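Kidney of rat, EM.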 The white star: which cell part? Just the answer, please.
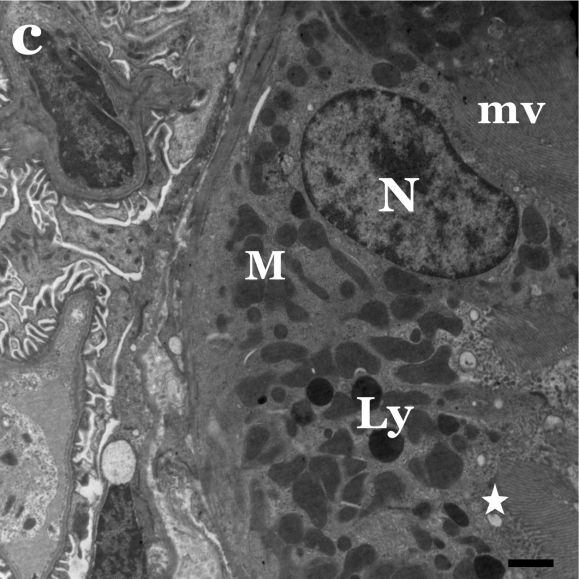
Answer: Vacuoles.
